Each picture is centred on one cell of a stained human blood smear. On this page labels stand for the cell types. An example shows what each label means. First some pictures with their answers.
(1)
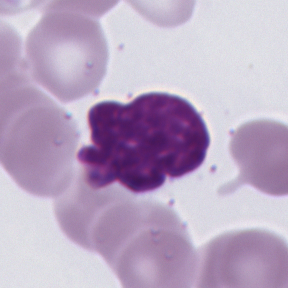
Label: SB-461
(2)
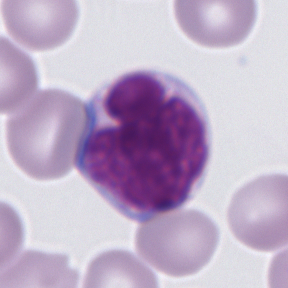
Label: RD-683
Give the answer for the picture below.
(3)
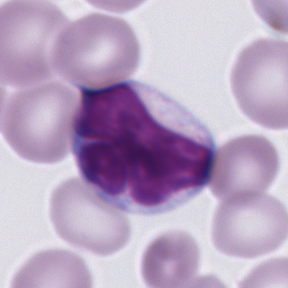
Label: RD-683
